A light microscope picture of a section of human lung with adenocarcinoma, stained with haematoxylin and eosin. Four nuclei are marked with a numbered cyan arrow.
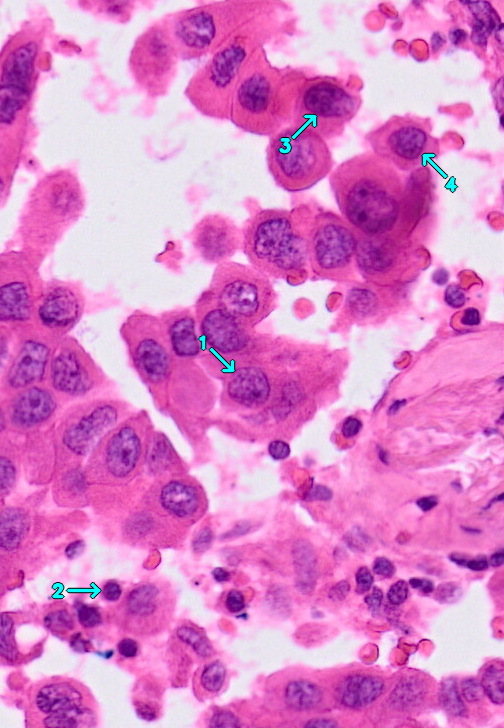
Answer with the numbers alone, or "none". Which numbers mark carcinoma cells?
1, 3, 4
